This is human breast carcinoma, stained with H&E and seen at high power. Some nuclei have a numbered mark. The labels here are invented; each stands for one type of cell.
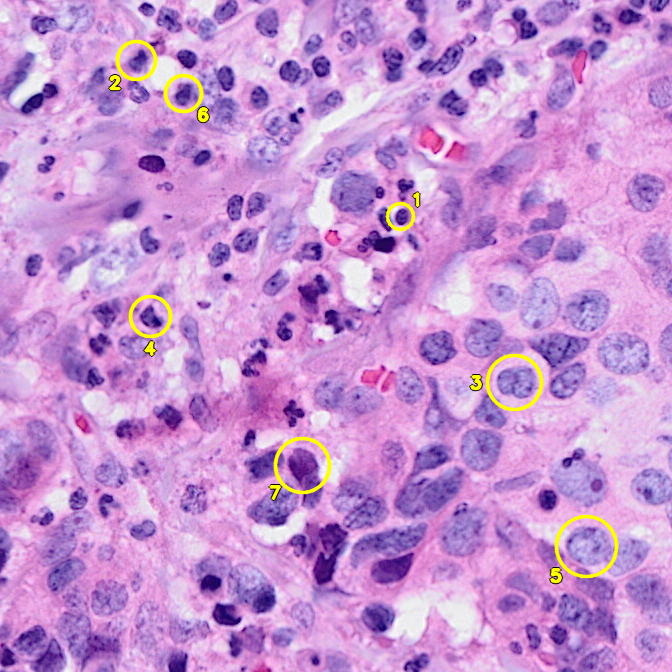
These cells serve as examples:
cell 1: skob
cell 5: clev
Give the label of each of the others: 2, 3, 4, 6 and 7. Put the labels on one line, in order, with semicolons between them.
skob; clev; skob; skob; clev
